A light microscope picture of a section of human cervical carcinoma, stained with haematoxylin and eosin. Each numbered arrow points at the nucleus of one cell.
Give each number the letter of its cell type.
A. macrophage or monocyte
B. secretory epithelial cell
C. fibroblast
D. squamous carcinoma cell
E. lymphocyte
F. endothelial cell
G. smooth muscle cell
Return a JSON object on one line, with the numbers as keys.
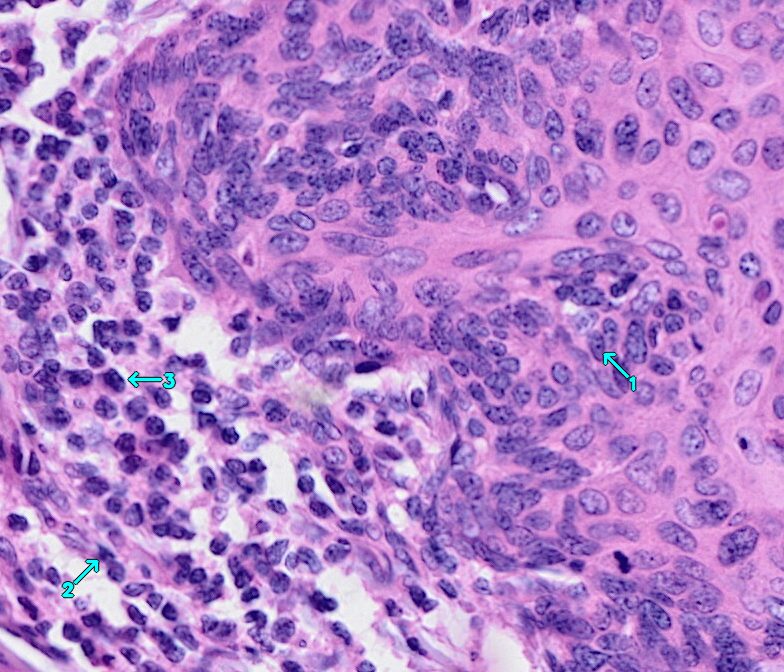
{"1": "D", "2": "E", "3": "E"}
